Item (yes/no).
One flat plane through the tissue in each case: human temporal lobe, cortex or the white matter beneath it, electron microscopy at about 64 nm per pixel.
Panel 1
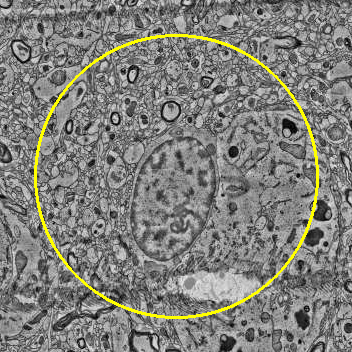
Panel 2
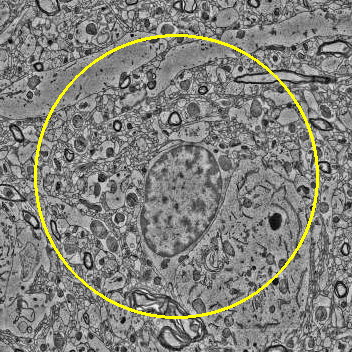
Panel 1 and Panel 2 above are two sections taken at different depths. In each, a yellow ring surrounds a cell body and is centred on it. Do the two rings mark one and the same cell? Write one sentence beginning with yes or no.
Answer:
Yes, the two yellow circles hold the same cell.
